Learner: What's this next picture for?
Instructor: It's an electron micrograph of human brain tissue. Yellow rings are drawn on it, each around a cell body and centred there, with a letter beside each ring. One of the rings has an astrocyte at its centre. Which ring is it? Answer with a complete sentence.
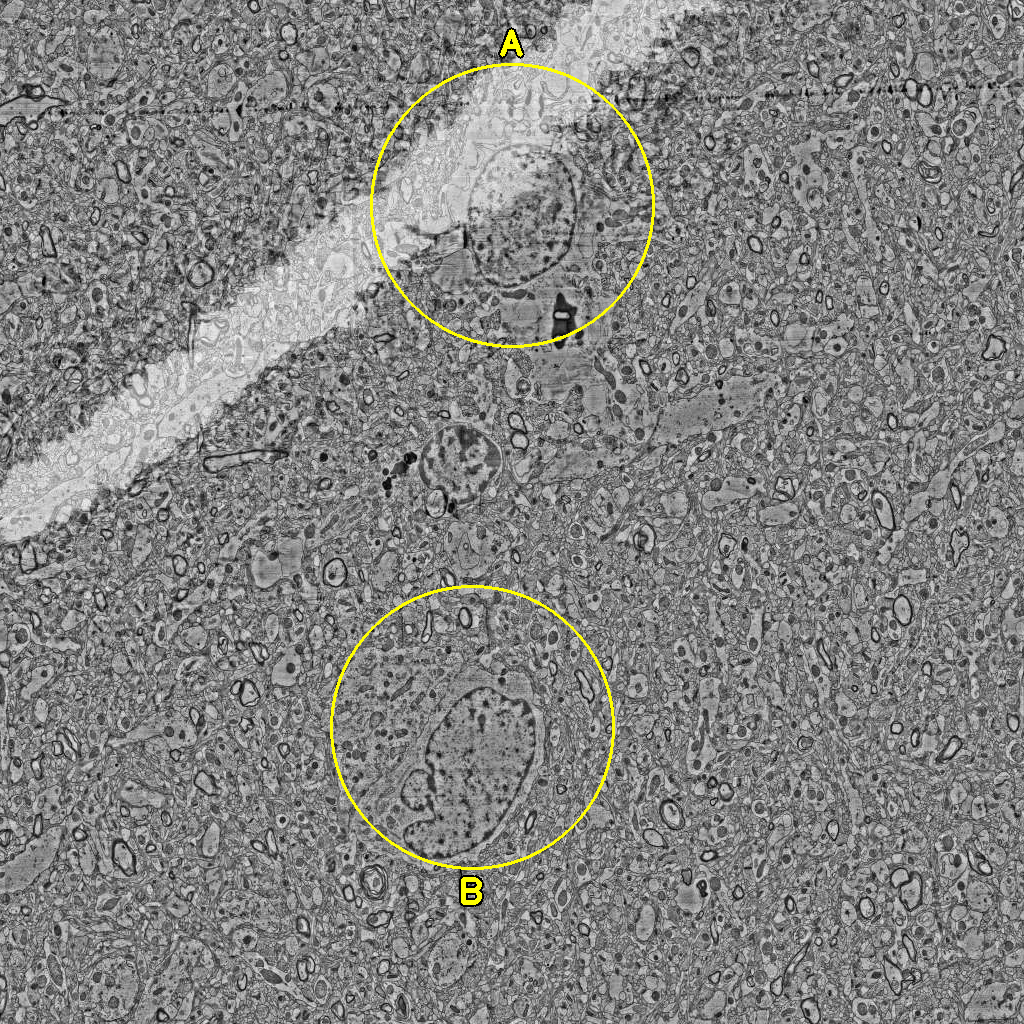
Ring A is centred on it.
